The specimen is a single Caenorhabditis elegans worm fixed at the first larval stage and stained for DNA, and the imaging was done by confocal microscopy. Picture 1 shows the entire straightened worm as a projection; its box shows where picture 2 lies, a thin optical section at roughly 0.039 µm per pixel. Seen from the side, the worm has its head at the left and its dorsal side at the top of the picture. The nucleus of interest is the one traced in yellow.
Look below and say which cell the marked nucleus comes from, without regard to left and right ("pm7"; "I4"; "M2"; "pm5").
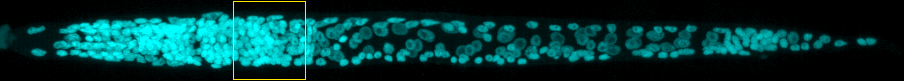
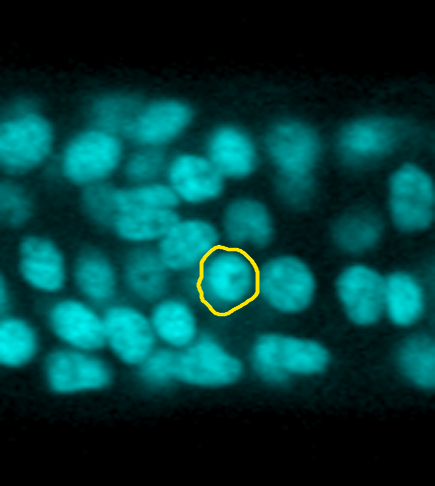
M2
